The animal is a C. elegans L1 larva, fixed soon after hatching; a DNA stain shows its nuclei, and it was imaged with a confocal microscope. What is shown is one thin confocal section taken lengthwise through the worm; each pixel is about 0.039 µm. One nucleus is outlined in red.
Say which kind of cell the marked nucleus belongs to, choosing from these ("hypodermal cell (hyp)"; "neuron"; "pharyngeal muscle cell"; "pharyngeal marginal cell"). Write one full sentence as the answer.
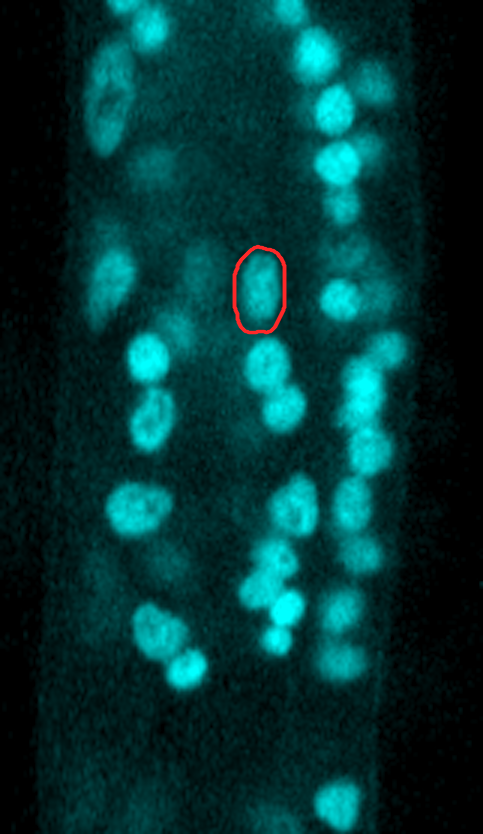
What is marked is the nucleus of a pharyngeal marginal cell.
